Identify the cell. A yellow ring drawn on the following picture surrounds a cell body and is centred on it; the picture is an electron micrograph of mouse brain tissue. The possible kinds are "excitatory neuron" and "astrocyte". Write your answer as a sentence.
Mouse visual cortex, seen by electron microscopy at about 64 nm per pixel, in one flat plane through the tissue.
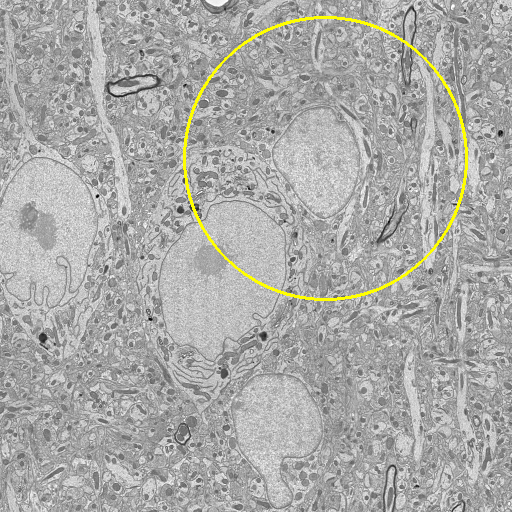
The cell identified by the ring is an astrocyte.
